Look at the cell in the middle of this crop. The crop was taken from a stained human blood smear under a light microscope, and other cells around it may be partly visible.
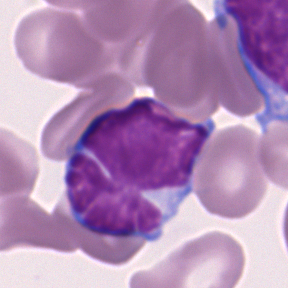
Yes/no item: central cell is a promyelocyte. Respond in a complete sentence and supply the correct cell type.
No, that guess of a promyelocyte misses; the central cell is a blast.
